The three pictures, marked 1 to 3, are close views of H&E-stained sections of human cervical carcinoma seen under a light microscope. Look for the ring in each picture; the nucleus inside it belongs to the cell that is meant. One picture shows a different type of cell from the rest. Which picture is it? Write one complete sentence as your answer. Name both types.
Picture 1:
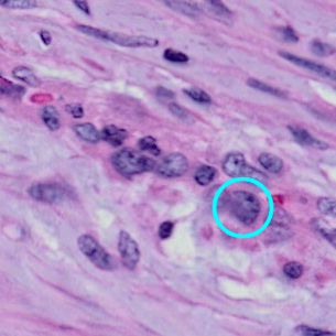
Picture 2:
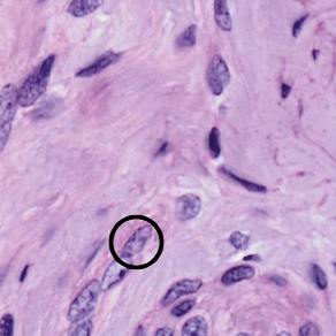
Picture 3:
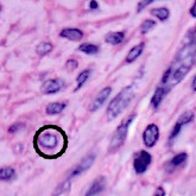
All pictures except 3 show endothelial cells; picture 3 shows a smooth muscle cell.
